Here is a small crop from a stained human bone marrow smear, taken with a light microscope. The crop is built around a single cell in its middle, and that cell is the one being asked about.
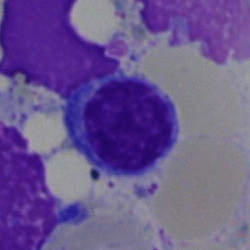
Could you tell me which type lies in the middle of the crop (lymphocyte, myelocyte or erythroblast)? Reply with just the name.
lymphocyte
